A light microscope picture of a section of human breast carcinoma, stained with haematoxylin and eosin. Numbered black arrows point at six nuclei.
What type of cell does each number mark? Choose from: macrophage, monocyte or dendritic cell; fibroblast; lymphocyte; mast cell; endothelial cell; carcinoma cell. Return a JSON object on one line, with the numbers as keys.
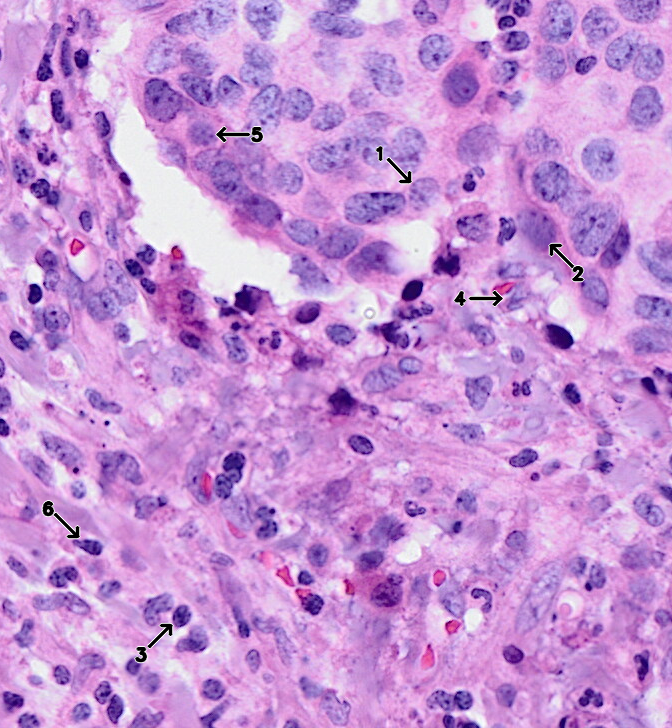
{"1": "carcinoma cell", "2": "carcinoma cell", "3": "lymphocyte", "4": "endothelial cell", "5": "carcinoma cell", "6": "lymphocyte"}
